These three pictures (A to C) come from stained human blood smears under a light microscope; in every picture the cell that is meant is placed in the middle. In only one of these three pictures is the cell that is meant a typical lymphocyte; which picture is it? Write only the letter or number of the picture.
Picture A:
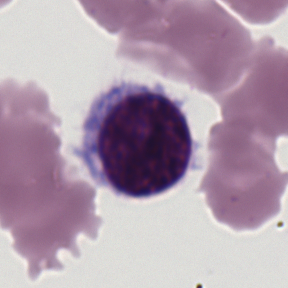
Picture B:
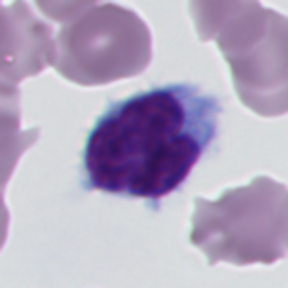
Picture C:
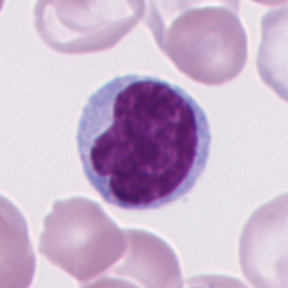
C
